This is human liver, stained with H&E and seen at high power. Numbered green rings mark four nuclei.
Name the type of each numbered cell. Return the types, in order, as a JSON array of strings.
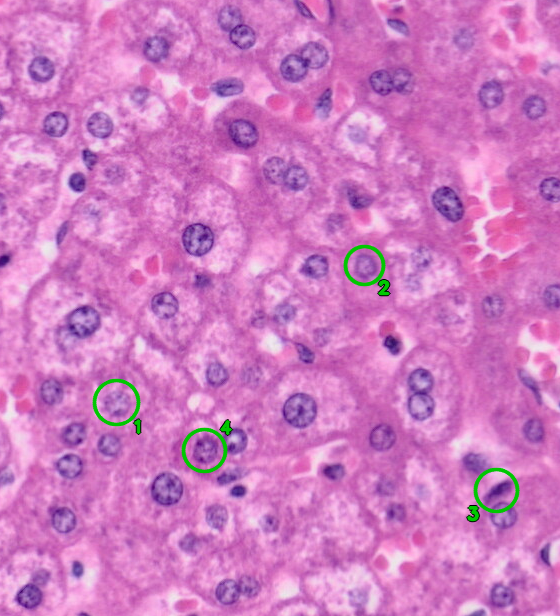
["hepatocyte", "hepatocyte", "fibroblast or stellate cell", "hepatocyte"]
